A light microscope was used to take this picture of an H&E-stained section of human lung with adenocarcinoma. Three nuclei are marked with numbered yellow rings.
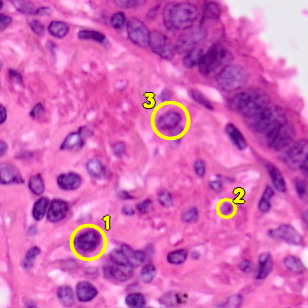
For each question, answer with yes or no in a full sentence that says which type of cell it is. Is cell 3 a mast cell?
Yes, the nucleus numbered 3 belongs to a mast cell.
